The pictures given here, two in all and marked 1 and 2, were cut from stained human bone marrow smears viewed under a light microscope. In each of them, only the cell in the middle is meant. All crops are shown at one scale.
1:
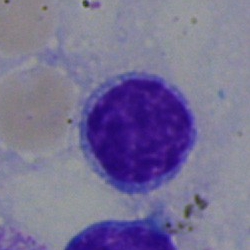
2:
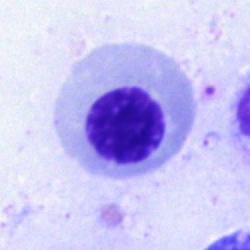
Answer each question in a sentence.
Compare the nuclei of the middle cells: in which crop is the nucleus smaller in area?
It is the nucleus in crop 2; the one in crop 1 has about 2 times its area.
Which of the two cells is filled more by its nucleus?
In crop 1 the nucleus takes up the larger part of its cell.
